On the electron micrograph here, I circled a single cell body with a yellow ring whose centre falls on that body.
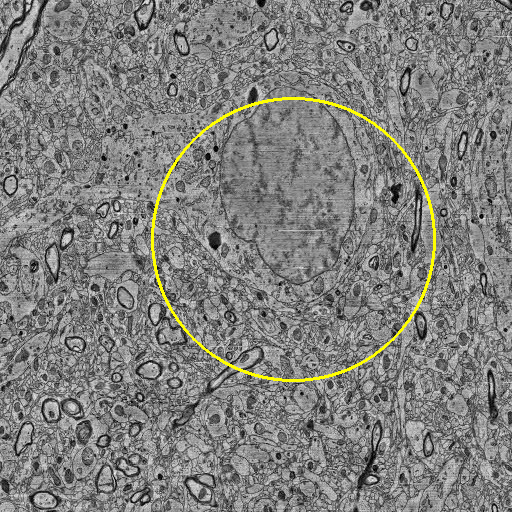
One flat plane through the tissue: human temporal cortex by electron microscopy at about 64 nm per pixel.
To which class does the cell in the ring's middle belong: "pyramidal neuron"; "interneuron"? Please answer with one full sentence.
In this picture, the cell body circled at the ring's centre belongs to a pyramidal neuron.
